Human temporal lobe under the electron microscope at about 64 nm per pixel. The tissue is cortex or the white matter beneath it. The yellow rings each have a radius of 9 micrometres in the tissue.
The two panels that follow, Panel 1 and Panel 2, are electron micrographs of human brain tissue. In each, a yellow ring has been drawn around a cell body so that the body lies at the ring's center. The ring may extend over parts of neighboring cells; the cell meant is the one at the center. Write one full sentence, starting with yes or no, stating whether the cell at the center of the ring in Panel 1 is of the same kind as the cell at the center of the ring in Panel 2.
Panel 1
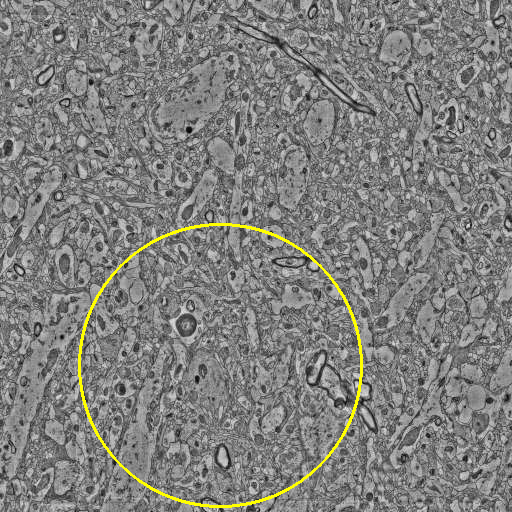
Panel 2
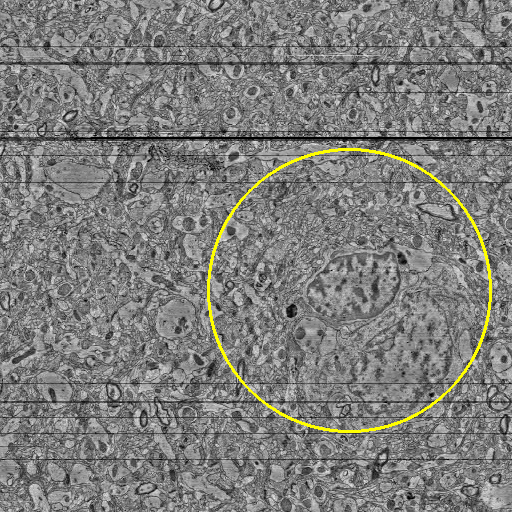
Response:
No, the cells in the two panels are of two kinds.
